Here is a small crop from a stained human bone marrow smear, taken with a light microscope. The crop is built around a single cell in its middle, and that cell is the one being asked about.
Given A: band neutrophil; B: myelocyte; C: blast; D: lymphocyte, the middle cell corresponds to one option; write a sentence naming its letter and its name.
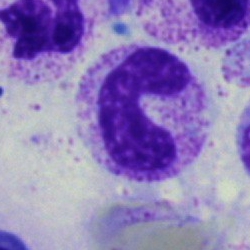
The cell in the middle is a band neutrophil, and that makes option A correct.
